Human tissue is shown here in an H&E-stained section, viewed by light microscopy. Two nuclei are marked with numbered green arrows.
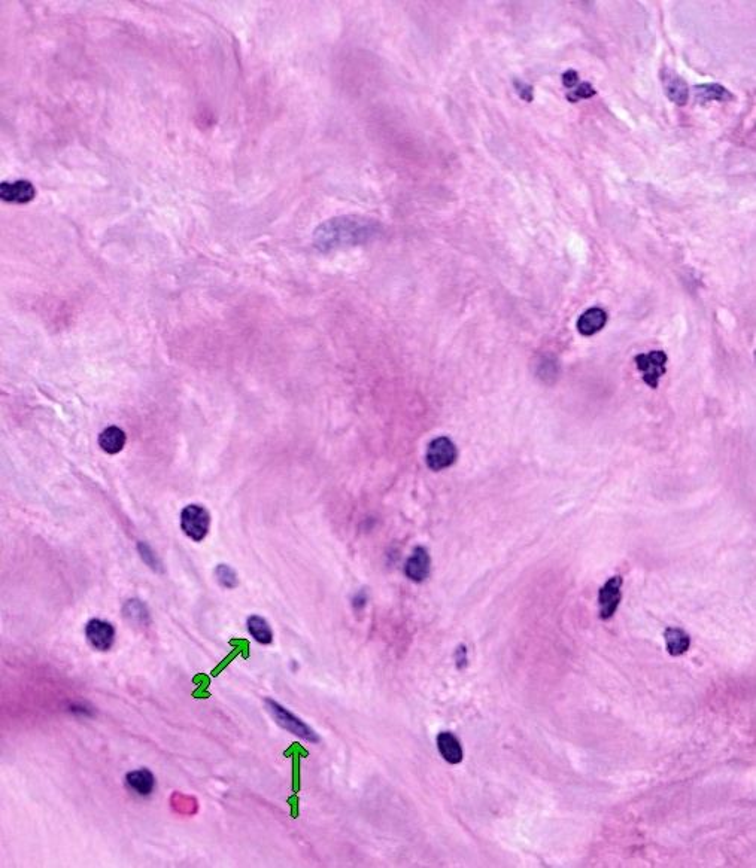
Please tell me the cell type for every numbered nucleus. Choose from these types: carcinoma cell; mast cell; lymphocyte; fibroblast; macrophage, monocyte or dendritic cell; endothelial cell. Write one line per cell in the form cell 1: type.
cell 1: fibroblast
cell 2: lymphocyte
